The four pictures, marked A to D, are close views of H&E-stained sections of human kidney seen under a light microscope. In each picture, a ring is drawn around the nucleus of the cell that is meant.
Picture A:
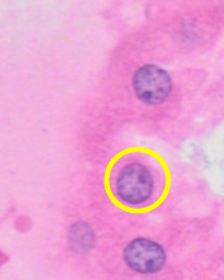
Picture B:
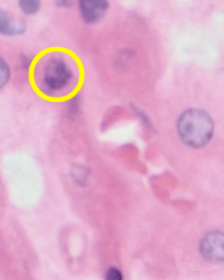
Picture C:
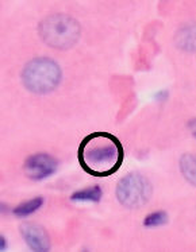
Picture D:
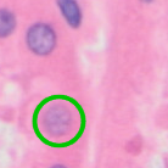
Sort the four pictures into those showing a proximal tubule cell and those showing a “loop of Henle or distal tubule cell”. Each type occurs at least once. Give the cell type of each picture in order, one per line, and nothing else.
proximal tubule cell
proximal tubule cell
loop of Henle or distal tubule cell
proximal tubule cell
